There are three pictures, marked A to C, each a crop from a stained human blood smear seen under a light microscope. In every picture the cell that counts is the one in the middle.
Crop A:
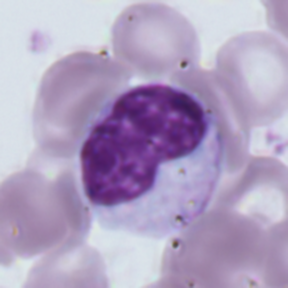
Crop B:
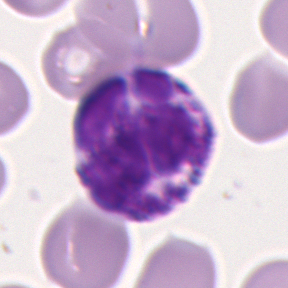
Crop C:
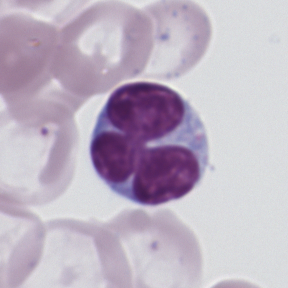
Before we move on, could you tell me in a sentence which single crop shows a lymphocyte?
The crop with a lymphocyte at its center is crop C.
